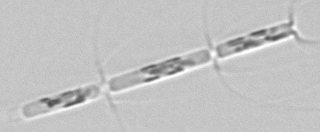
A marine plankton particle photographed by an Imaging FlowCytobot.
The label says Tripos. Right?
Wrong: this is Bacteriastrum furcatum.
